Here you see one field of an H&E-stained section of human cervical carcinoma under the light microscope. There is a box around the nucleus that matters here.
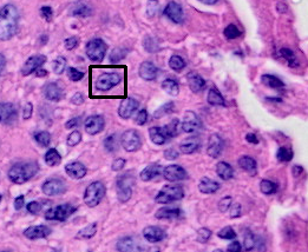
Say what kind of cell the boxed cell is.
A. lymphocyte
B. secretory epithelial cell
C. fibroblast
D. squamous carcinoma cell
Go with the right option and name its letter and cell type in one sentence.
That the boxed cell is a squamous carcinoma cell makes option D the correct choice.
